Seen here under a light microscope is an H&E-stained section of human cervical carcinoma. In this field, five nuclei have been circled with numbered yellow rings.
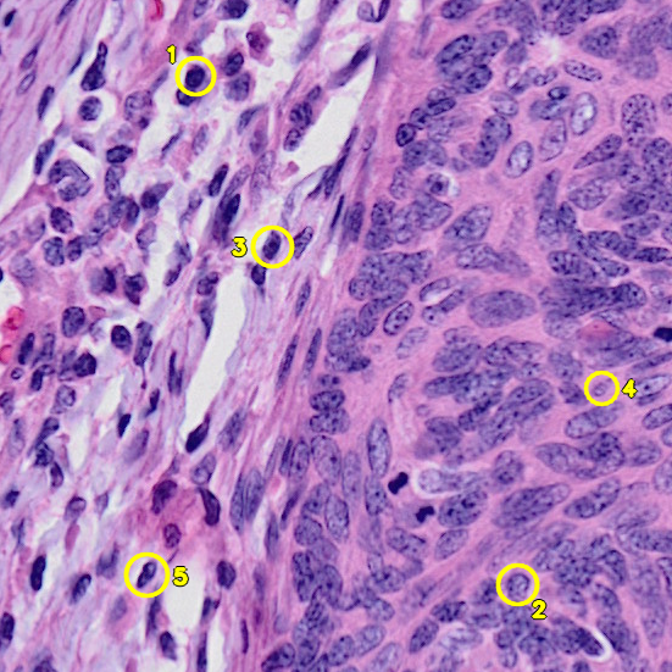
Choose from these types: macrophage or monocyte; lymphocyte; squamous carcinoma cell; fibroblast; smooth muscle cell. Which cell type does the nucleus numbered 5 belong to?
lymphocyte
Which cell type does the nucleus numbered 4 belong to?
squamous carcinoma cell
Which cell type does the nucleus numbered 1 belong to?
lymphocyte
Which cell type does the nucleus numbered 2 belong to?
squamous carcinoma cell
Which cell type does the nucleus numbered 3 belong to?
lymphocyte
